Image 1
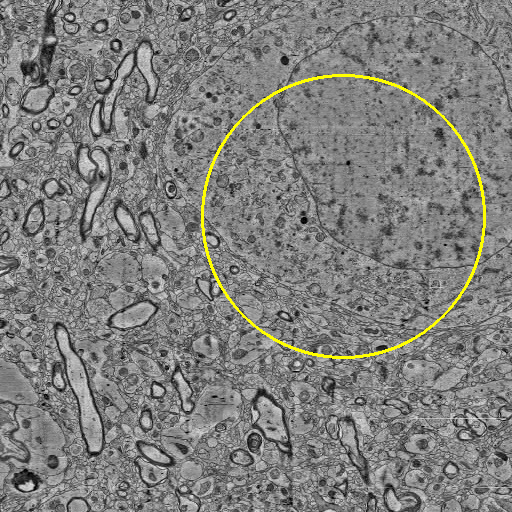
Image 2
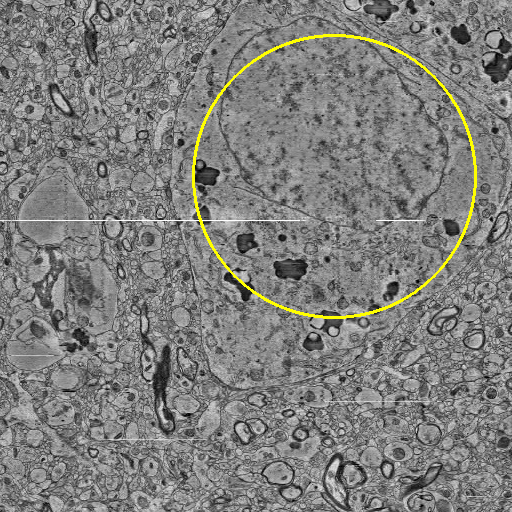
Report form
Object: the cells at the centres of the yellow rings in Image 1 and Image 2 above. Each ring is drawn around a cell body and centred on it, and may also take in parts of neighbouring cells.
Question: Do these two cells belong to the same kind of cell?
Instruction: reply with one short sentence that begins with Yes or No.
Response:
Yes, both belong to the same kind of cell.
